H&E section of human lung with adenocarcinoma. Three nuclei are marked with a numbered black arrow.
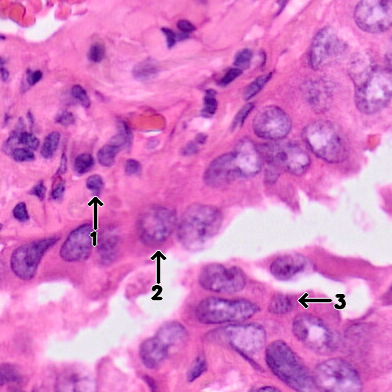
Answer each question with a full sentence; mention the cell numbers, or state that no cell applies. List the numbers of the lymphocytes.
Cell 1 is a lymphocyte, which is true of none of the other numbered cells.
